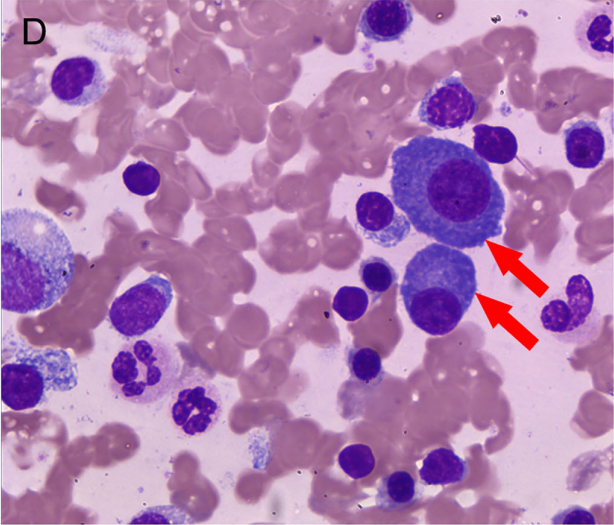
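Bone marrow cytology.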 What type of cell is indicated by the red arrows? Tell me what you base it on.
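The marked cells are larger than the surrounding small round cells. Each marked cell has a round nucleus set toward one side of the cell. The marked cells have abundant deep blue cytoplasm.
Plasma cells.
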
